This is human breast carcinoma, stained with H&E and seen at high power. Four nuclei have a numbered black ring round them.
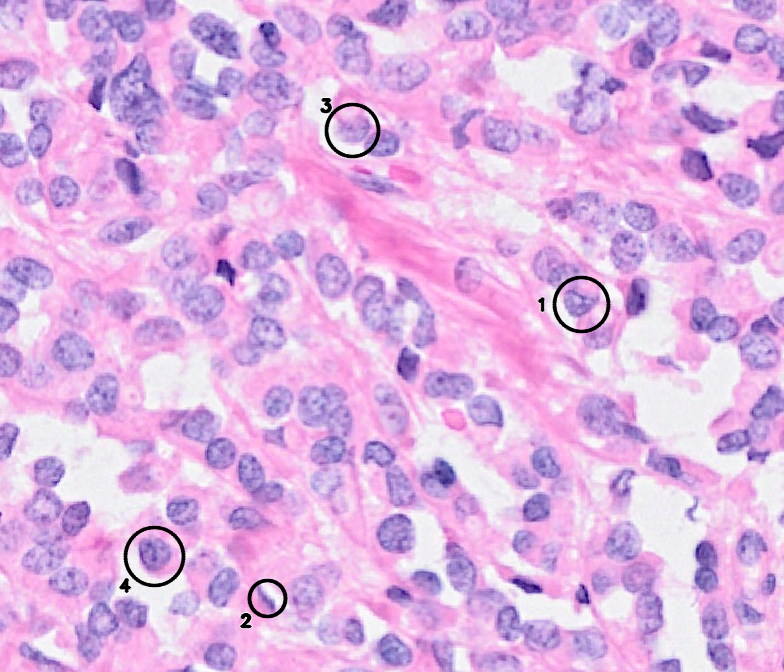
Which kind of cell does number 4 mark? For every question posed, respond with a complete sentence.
Here, the cell given the number 4 is a carcinoma cell.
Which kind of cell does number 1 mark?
The cell numbered 1 has been identified as a carcinoma cell.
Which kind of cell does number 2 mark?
The cell whose nucleus carries the number 2 is a fibroblast.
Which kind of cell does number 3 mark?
The cell to which the number 3 is assigned is a carcinoma cell.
